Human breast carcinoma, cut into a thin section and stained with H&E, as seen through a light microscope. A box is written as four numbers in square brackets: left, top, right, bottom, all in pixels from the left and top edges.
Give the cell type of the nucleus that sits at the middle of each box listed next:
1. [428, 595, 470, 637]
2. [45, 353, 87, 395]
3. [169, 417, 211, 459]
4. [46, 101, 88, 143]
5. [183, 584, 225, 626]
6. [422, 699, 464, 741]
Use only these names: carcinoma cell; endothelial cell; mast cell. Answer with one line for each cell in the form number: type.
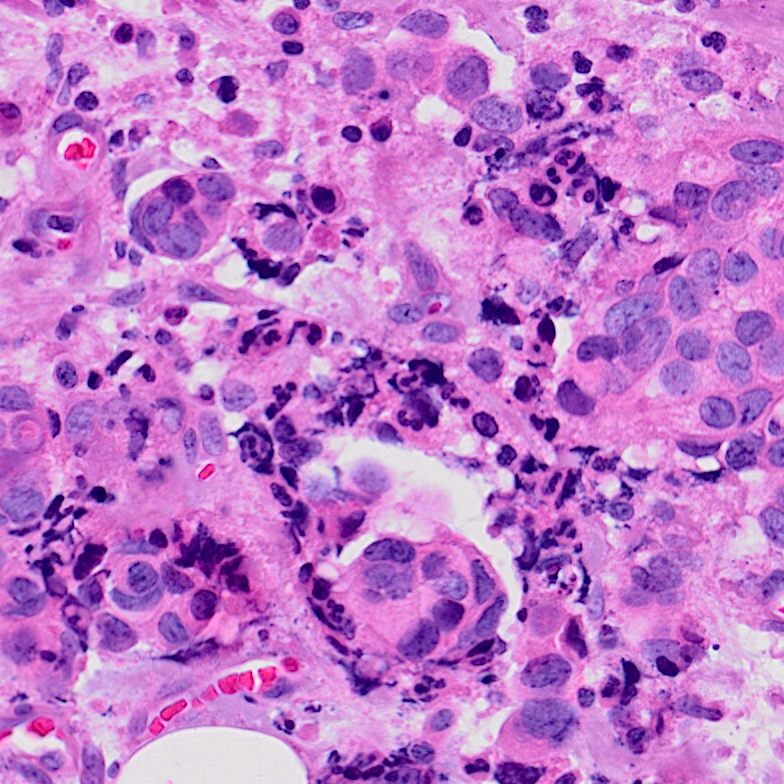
1: carcinoma cell
2: mast cell
3: endothelial cell
4: endothelial cell
5: carcinoma cell
6: mast cell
